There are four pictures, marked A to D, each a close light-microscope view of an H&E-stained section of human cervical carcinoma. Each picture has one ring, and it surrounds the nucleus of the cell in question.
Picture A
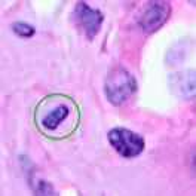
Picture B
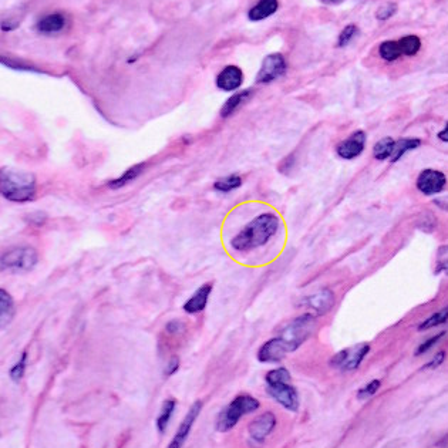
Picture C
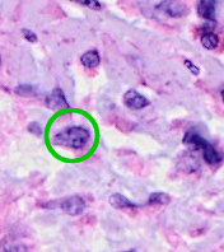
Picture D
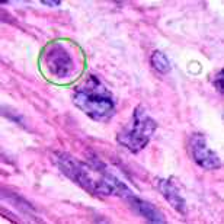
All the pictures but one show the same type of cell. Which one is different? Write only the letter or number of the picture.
A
